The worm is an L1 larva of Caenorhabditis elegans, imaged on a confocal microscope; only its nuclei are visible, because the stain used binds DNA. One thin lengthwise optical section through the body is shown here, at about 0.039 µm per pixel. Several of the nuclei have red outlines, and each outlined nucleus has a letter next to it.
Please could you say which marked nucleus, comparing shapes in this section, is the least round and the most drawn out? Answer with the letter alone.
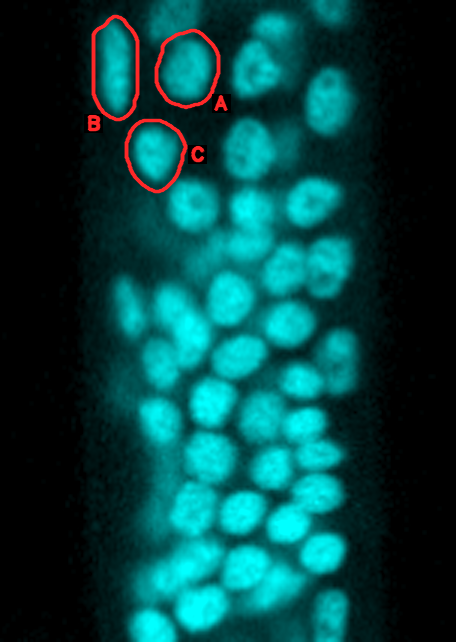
B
